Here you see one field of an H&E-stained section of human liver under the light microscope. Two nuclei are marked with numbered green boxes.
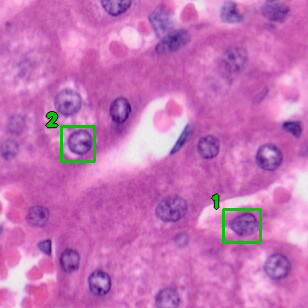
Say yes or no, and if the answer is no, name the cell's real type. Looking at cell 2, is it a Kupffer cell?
No, it is a hepatocyte.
